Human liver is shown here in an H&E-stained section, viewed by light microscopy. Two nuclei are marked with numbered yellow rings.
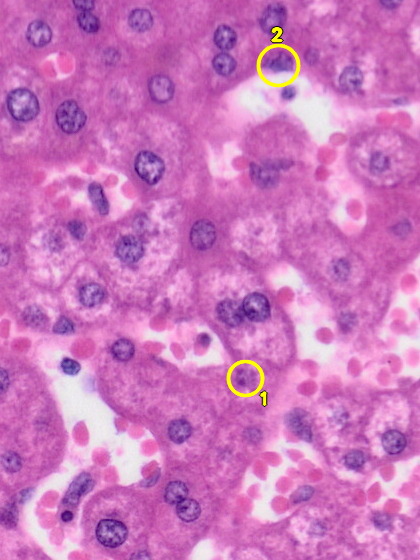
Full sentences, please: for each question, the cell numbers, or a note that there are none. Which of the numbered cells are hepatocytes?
Response: cell 1 is a hepatocyte, and no other numbered cell is.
